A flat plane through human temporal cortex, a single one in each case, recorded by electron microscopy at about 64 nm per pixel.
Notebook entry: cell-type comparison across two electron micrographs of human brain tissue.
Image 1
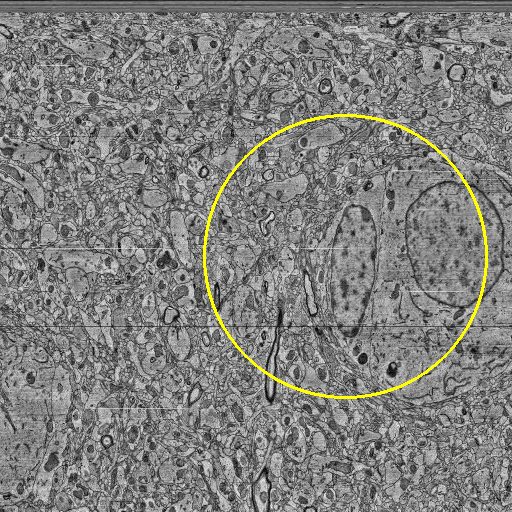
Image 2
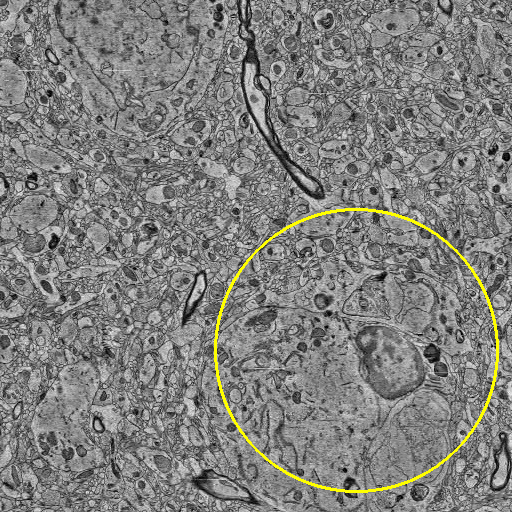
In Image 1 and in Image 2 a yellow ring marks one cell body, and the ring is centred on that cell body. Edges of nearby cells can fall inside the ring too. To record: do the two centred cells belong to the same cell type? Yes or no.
yes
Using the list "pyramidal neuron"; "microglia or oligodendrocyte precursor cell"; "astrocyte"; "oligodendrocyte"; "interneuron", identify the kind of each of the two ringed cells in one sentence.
Each cell, in the first picture and the second, is a microglial cell or oligodendrocyte precursor cell.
